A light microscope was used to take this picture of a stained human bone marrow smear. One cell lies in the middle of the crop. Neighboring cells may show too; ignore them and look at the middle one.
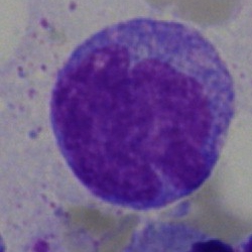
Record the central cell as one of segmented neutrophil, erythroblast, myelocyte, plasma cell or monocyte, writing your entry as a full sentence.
Centrally within this crop lies a monocyte.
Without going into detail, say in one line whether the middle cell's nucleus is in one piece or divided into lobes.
Just one compact nuclear mass here, round, oval or kidney-shaped.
